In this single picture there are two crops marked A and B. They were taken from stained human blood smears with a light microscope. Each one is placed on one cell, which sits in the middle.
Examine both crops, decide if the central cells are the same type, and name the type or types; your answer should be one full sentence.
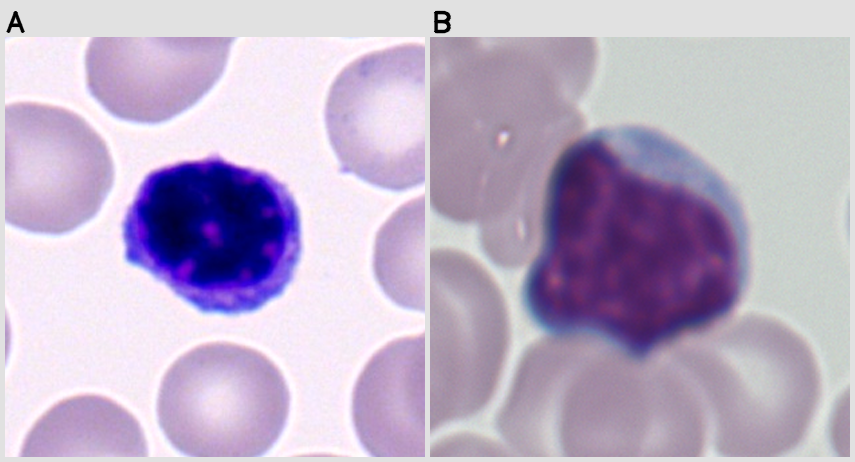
Yes, it is lymphocytes that occupy the middle of both crops.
